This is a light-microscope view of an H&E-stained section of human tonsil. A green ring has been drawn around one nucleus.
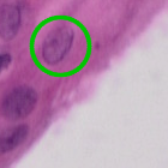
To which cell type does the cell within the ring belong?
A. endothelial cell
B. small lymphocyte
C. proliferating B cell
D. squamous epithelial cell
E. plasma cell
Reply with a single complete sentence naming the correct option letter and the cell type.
Right answer, option D: the cell within the ring is a squamous epithelial cell.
